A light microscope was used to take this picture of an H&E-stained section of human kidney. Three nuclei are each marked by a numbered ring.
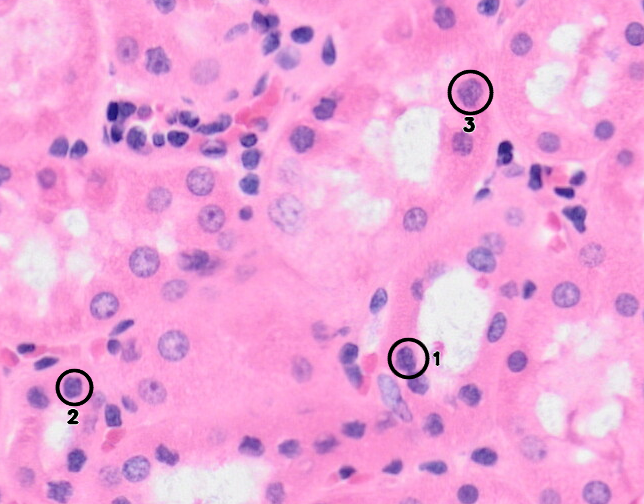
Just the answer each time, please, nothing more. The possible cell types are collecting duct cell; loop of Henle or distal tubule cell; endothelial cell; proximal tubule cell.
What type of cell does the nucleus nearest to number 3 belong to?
proximal tubule cell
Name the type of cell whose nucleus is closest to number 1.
loop of Henle or distal tubule cell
